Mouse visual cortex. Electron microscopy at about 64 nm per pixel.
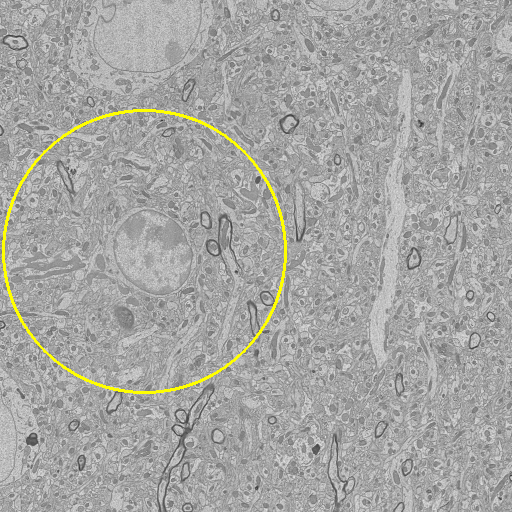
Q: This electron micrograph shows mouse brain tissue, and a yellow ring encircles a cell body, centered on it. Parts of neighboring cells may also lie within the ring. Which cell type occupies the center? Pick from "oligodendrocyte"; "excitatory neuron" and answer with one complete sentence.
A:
What sits at the ring's center in this micrograph is an oligodendrocyte, among those choices.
